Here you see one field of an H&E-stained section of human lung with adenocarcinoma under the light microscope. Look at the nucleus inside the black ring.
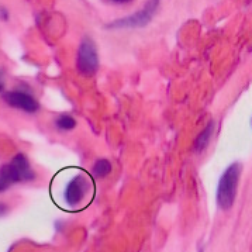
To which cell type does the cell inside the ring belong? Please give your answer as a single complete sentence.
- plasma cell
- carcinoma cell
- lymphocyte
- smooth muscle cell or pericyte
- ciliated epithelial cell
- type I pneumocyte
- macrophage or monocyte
By cell type, the cell inside the ring is a type I pneumocyte.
